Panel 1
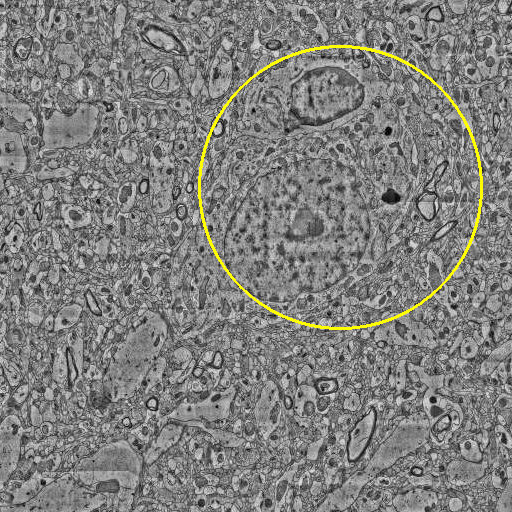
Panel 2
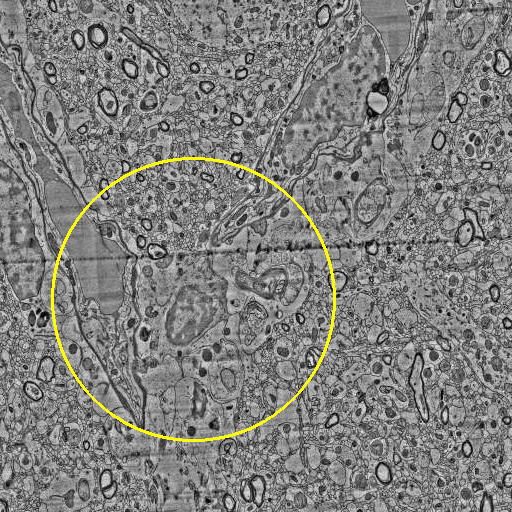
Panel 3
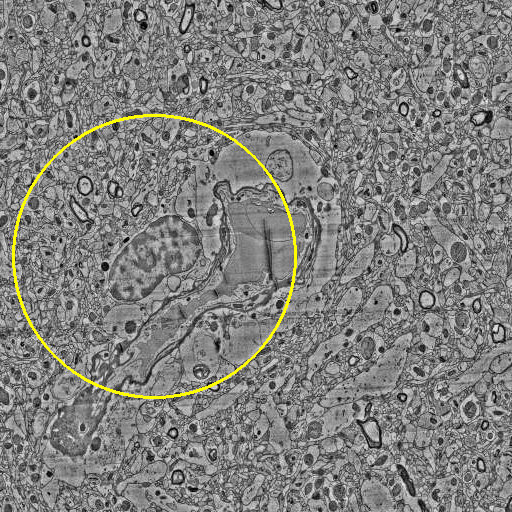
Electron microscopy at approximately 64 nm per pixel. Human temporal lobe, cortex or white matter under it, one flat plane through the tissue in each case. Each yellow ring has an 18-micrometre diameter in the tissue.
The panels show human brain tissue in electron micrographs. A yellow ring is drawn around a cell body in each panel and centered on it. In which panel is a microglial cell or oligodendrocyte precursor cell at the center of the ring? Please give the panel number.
3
